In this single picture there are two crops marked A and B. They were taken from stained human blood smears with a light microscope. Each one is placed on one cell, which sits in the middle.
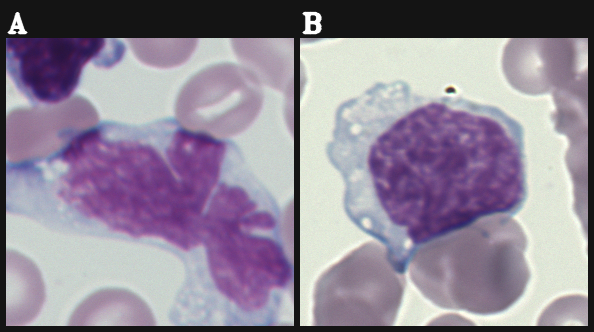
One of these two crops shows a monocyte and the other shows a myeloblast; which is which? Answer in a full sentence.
The correct labels are a monocyte for crop A and a myeloblast for crop B.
